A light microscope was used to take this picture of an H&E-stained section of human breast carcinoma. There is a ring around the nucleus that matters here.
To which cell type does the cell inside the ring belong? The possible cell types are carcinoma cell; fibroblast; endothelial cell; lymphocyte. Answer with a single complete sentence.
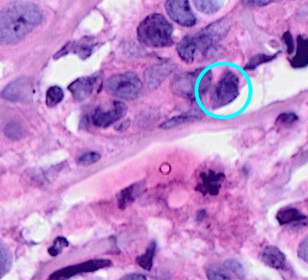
Right, so the cell inside the ring is a carcinoma cell, to answer that.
